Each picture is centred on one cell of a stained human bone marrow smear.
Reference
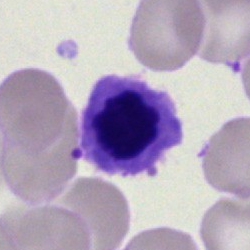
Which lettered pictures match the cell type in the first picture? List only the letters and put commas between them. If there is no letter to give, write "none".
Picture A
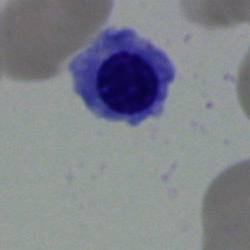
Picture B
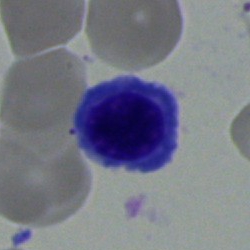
A, B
